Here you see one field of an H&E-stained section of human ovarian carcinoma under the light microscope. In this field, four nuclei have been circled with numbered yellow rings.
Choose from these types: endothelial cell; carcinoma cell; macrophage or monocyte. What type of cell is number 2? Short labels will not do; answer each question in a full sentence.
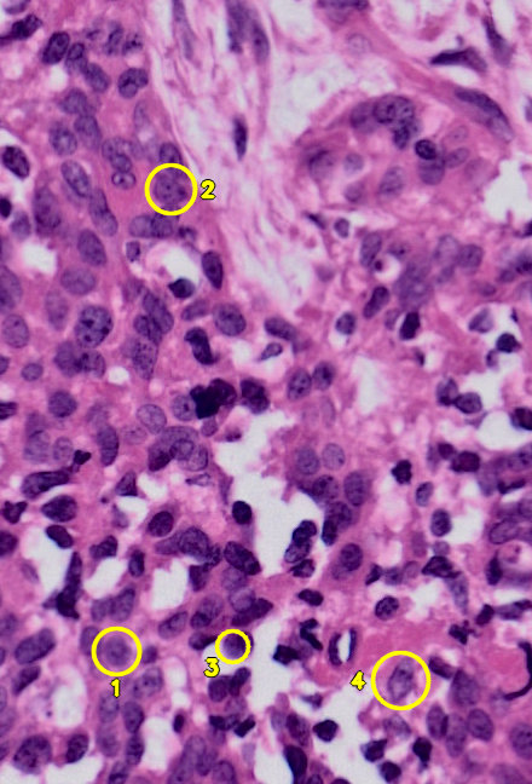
Cell 2 of the marked set is a carcinoma cell.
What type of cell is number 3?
The nucleus marked 3 is the nucleus of a carcinoma cell.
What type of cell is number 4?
Denoted by the label 4 in the section is a macrophage or monocyte.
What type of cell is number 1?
Number 1 among the marked cells is a carcinoma cell.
